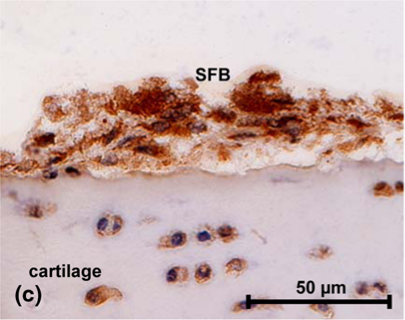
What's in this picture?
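The fibroblast layer at the top stains strongly brown, with dark blue nuclei crowded within it, several cells thick. Just below it runs a pale, unstained band. In the underlying cartilage the chondrocytes lie scattered in lacunae, each with a blue nucleus and a rim of brown-stained cytoplasm. The cartilage matrix itself stays pale.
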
